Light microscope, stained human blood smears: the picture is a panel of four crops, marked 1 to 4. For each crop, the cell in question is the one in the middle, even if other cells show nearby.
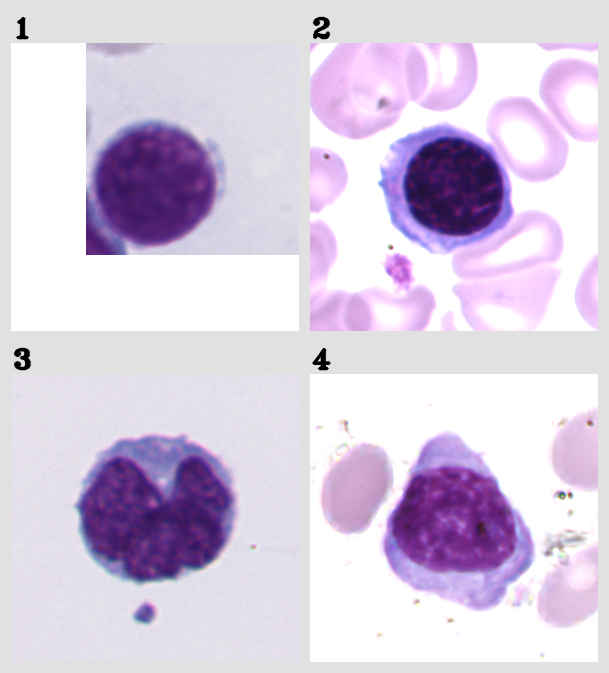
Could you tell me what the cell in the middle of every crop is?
1: myeloblast
2: erythroblast
3: monocyte
4: plasma cell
